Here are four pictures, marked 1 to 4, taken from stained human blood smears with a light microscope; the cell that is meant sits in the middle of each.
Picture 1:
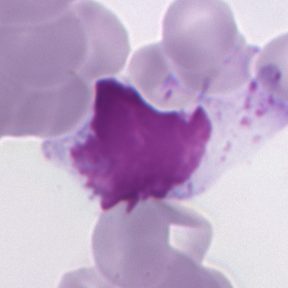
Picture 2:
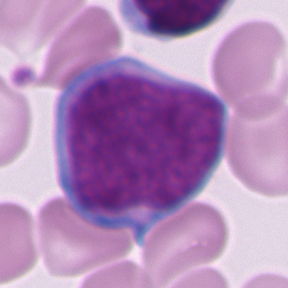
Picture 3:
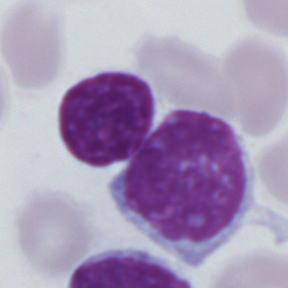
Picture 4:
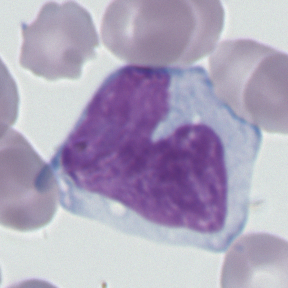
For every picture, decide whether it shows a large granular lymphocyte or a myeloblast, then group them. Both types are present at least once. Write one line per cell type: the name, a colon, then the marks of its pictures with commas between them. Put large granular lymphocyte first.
large granular lymphocyte: 1
myeloblast: 2, 3, 4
